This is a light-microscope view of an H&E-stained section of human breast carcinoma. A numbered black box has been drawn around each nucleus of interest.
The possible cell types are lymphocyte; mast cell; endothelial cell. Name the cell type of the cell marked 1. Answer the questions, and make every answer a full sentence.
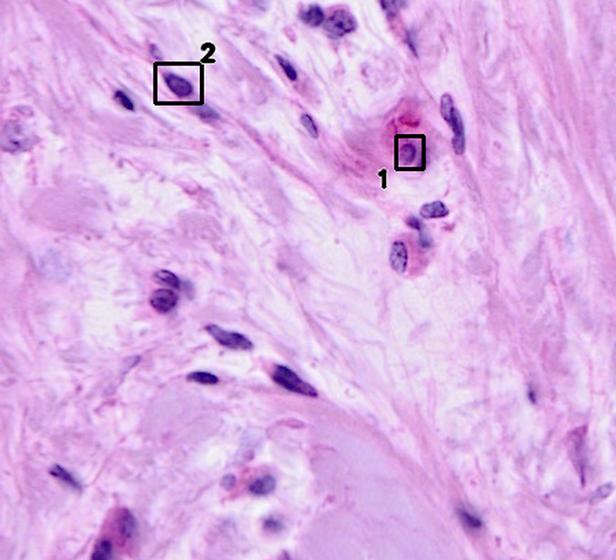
The cell that bears the number 1 is an endothelial cell.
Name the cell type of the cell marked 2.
Marked with the number 2, this cell is a lymphocyte.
